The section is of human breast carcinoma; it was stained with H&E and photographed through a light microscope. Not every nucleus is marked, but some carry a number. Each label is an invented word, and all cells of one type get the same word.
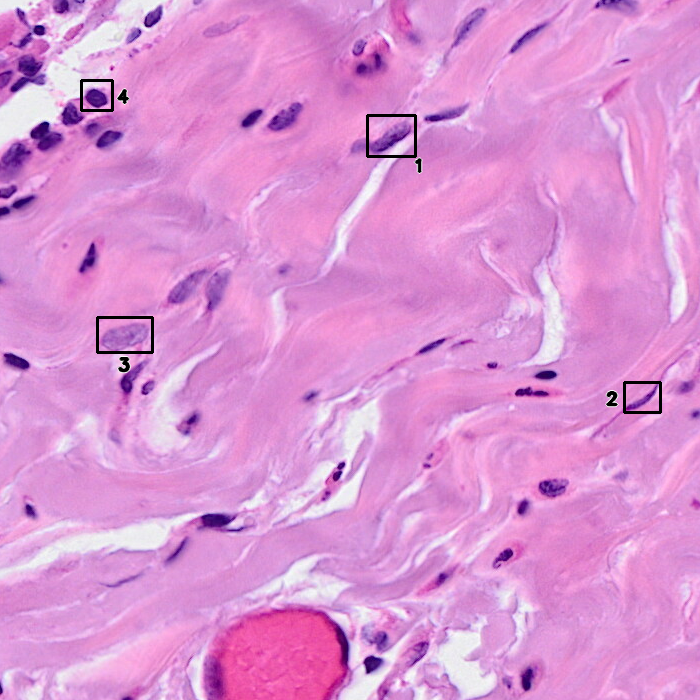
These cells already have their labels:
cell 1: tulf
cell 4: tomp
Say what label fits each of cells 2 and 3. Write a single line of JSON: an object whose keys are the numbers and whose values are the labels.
{"2": "tulf", "3": "tulf"}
